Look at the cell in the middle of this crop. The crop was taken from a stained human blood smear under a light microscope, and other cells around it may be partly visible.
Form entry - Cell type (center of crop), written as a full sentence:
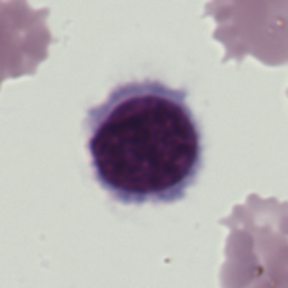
The cell shown in the center of this light-microscope crop is a hairy cell.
